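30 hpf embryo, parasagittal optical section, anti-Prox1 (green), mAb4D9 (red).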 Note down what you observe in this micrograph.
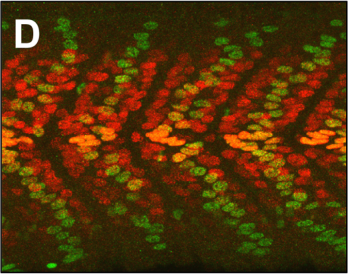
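Many nuclei are red, others green, and some appear yellow where both colours overlap. Along the horizontal midline lies a dense cluster of larger, brighter orange-yellow nuclei in each segment. The rows of labelled nuclei extend well above and below the midline across the whole height of the segments.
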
